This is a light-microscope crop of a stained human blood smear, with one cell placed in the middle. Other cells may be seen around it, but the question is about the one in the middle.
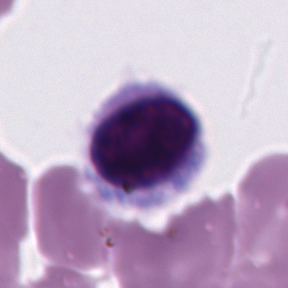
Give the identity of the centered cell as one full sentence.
The middle cell in this particular crop is a hairy cell.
